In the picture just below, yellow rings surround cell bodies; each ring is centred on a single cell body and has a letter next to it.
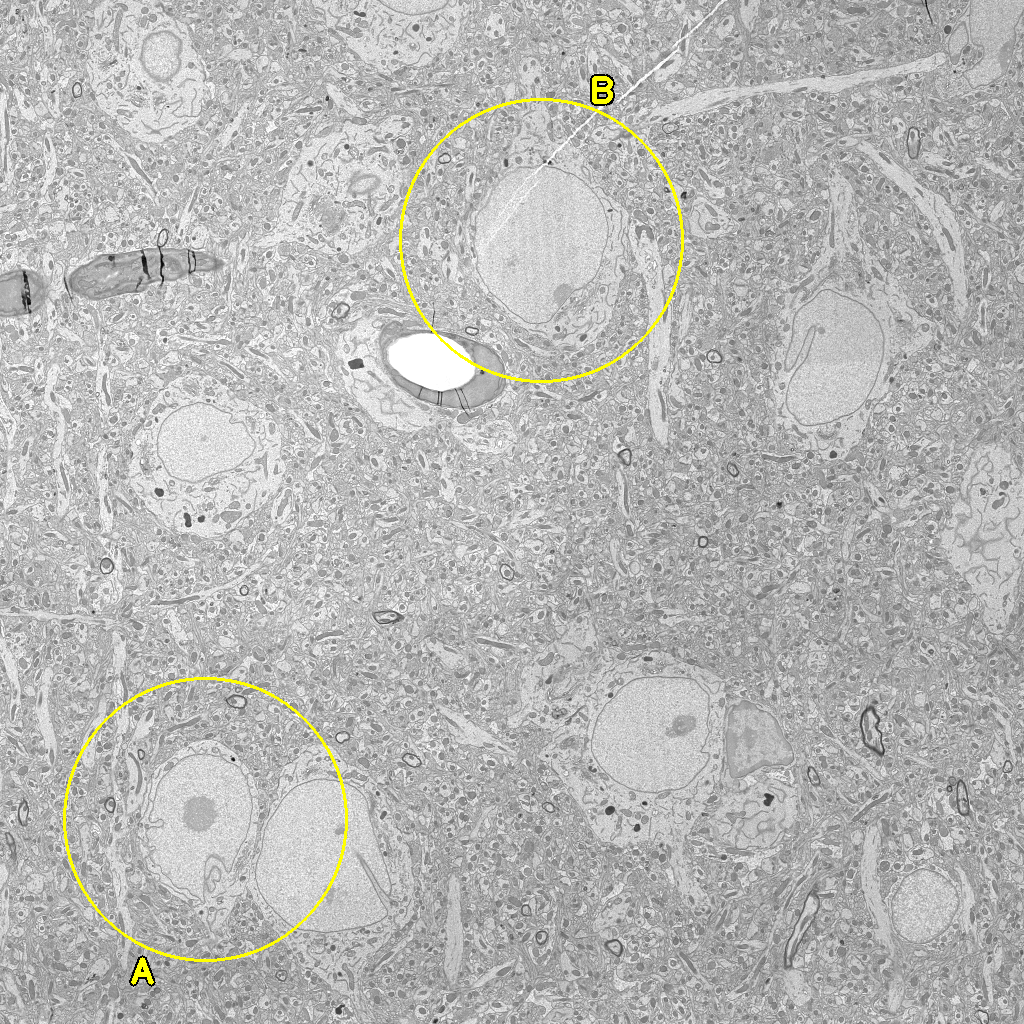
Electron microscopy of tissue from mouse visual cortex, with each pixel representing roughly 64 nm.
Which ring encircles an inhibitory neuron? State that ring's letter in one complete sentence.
The letter A marks the ring centred on the cell asked for in the picture.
